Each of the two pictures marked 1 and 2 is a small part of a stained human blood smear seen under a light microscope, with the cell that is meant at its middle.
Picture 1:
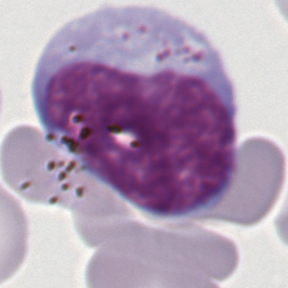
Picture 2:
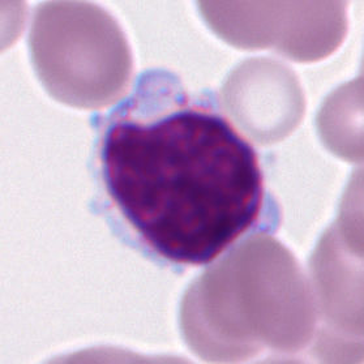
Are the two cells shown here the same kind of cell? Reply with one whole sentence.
Yes; the cells in both pictures are large granular lymphocytes.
